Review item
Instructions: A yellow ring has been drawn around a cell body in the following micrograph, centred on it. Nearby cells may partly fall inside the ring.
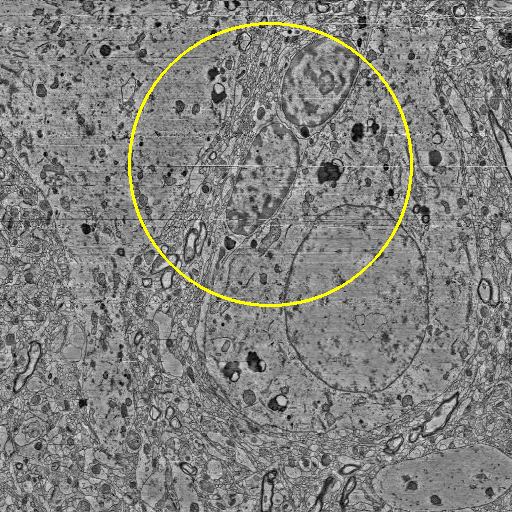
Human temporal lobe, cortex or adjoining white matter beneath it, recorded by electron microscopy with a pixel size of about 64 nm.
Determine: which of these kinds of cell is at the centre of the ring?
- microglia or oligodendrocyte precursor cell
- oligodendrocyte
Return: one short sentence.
The cell body in the middle of the ring is that of a microglial cell or oligodendrocyte precursor cell.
